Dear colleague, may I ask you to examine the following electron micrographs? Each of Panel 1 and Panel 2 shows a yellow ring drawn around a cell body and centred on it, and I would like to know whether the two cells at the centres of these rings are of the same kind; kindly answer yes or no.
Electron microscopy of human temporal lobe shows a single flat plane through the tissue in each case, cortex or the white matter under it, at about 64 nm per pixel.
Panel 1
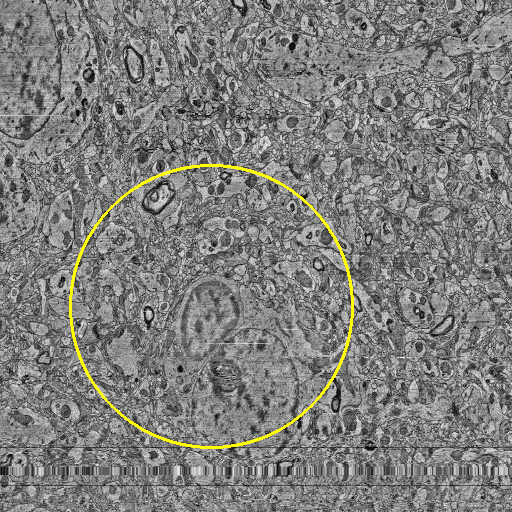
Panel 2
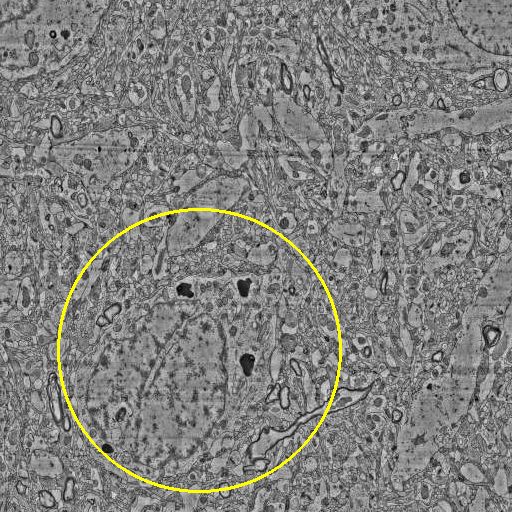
no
